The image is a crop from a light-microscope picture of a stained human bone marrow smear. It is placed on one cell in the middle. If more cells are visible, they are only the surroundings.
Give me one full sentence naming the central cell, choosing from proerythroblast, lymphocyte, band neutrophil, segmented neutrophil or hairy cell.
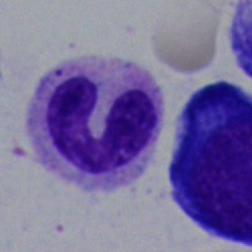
What the crop centres on is a band neutrophil.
